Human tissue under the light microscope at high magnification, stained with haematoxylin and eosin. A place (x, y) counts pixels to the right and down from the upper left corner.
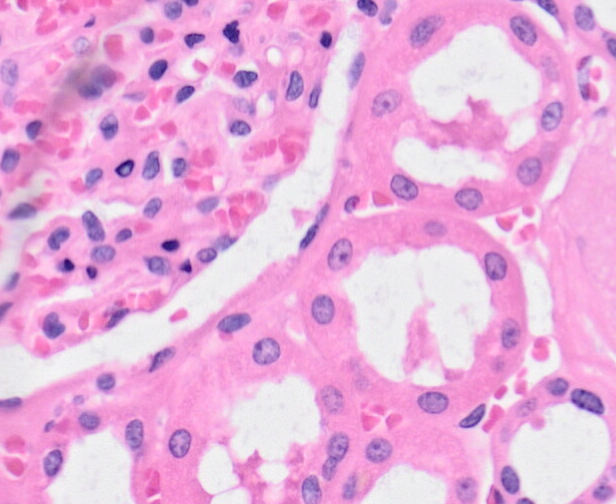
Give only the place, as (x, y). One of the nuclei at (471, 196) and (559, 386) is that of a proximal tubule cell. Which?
(471, 196)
